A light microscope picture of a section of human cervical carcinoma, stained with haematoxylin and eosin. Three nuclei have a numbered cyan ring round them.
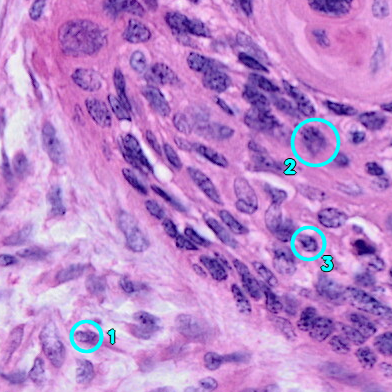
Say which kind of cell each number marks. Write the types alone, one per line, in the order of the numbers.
fibroblast
squamous carcinoma cell
squamous carcinoma cell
